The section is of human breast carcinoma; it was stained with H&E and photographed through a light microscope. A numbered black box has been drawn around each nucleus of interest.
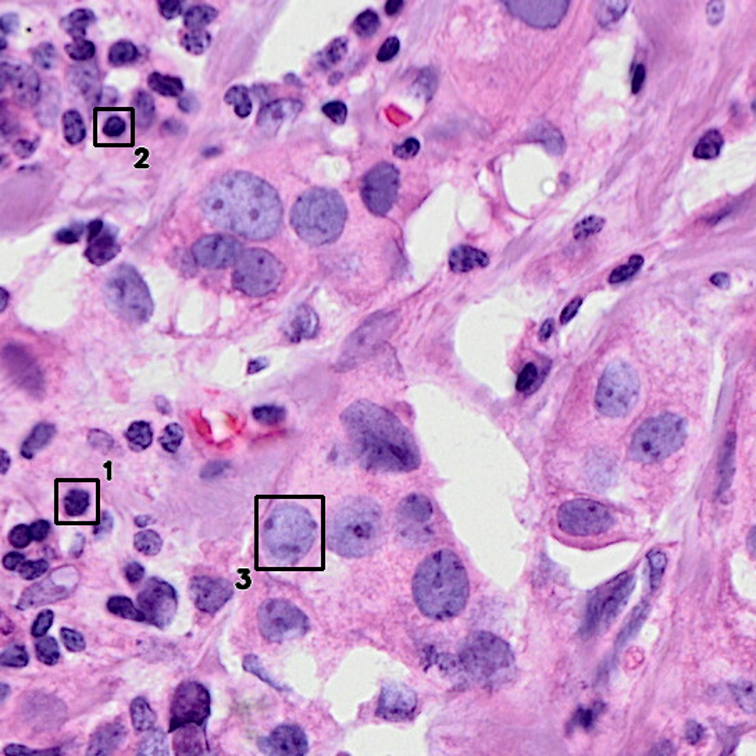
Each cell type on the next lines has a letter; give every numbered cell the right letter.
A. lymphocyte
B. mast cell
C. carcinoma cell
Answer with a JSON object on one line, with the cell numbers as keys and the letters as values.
{"1": "A", "2": "A", "3": "C"}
